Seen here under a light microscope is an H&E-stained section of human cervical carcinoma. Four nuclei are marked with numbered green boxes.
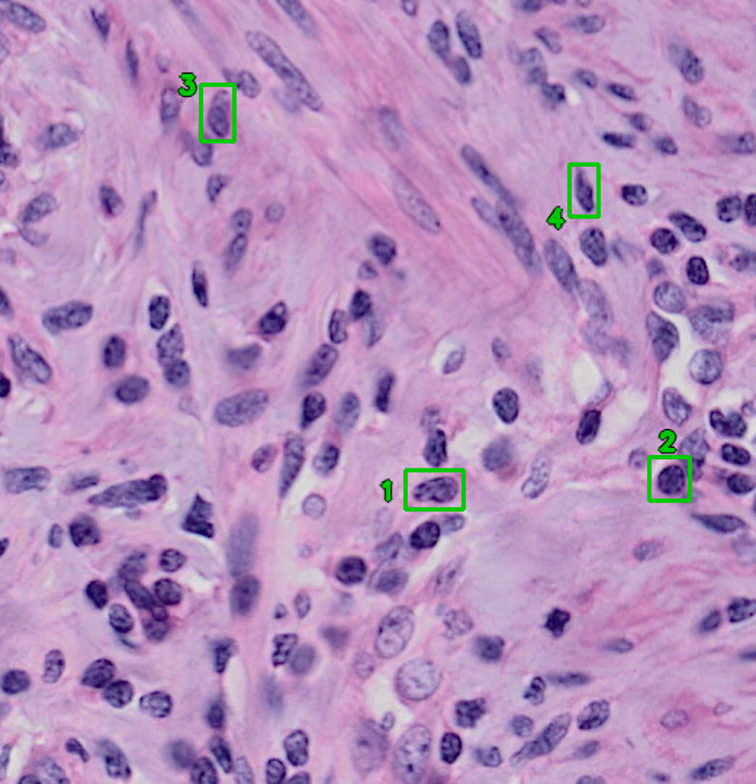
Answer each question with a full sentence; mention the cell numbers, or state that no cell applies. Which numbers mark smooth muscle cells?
In short, cell 3 is a smooth muscle cell; the others are not.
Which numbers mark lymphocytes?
The cells numbered 1 and 2 are identified as lymphocytes.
